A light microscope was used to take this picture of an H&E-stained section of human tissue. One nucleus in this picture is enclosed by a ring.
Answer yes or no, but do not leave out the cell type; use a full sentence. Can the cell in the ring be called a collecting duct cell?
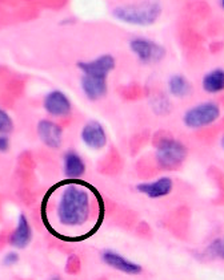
No, the cell in the ring is scored as an endothelial cell and not as a collecting duct cell.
